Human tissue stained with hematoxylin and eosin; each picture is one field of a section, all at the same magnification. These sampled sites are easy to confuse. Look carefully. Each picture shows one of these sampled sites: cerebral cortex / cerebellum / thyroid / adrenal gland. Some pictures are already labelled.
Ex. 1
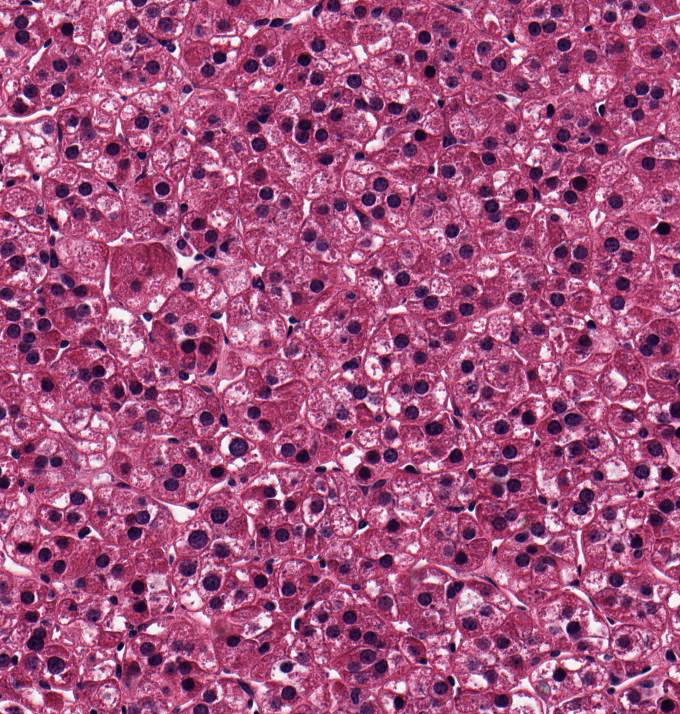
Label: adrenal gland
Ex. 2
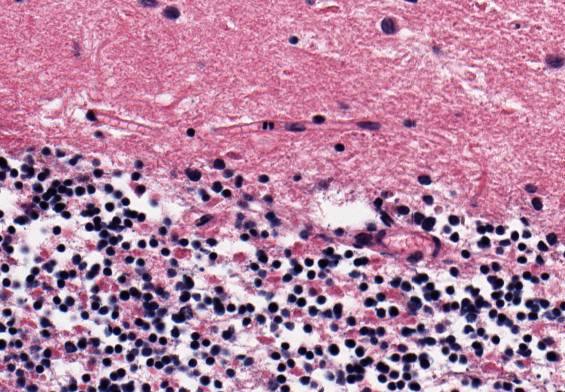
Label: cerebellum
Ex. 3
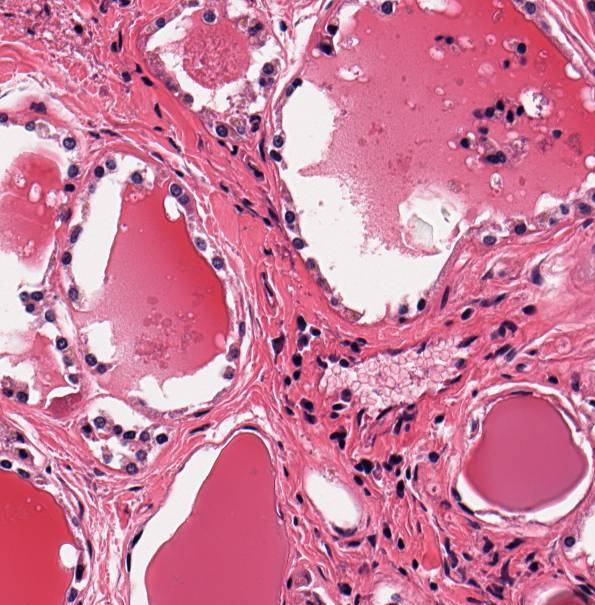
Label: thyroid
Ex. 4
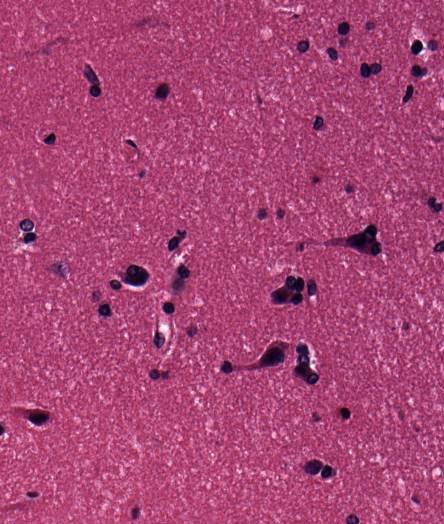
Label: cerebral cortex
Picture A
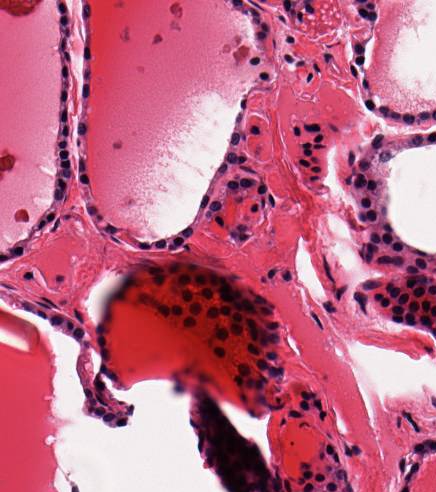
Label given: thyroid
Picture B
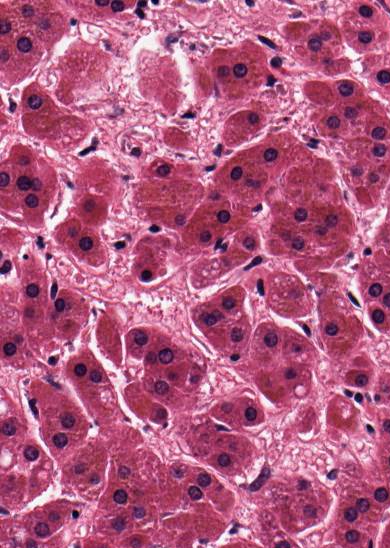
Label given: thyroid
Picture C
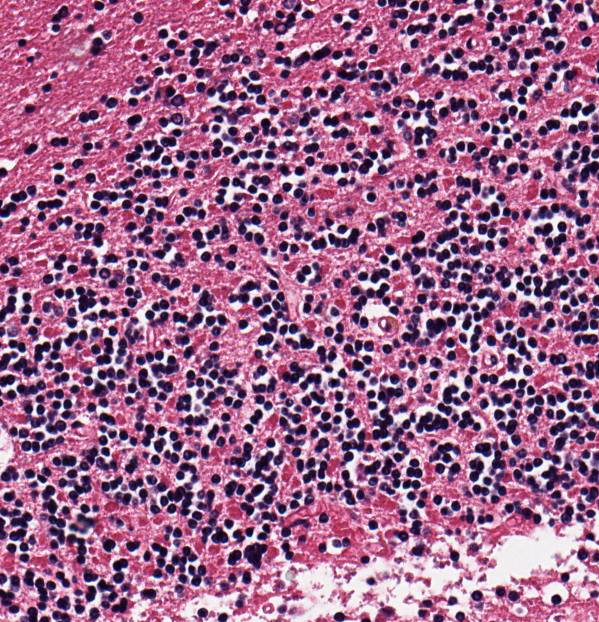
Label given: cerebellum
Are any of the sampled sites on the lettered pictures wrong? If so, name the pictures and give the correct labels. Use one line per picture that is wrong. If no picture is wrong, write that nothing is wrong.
B: adrenal gland, not thyroid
